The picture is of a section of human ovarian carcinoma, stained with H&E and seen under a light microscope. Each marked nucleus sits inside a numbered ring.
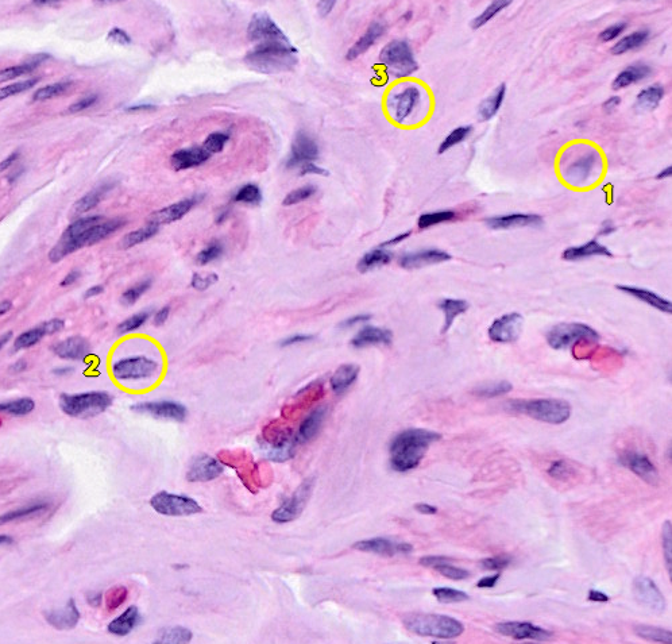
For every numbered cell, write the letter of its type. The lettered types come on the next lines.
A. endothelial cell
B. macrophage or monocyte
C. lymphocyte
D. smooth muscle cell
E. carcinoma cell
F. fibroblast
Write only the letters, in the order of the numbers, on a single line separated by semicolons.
D; F; F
